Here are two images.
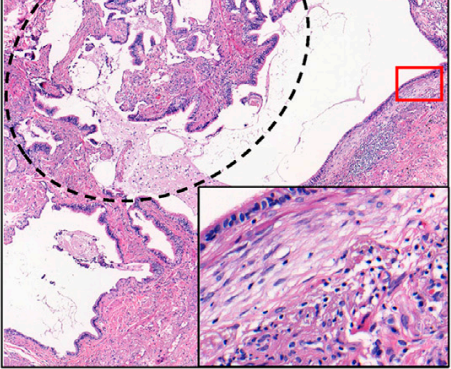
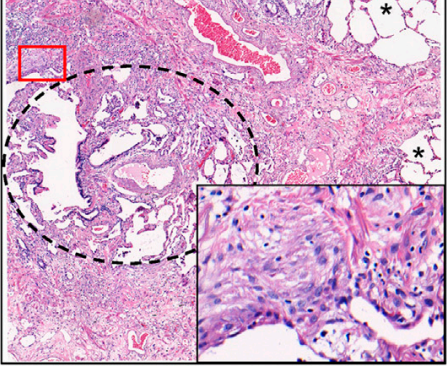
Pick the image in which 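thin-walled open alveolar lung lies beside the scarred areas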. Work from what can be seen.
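The second image. First image: the section is taken up by fibrous tissue and large cystic, epithelium-lined spaces, with no clear thin-walled alveoli. Second image: at the right edge, thin-walled open alveolar spaces border the dense fibrous tissue.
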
